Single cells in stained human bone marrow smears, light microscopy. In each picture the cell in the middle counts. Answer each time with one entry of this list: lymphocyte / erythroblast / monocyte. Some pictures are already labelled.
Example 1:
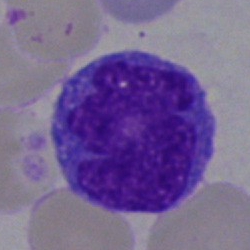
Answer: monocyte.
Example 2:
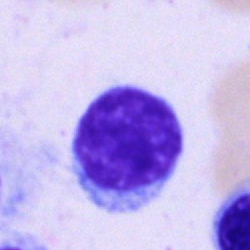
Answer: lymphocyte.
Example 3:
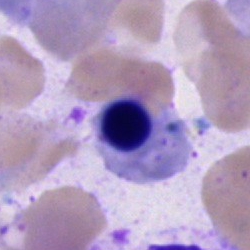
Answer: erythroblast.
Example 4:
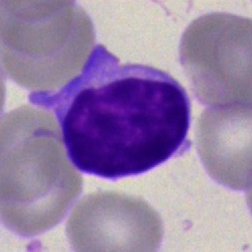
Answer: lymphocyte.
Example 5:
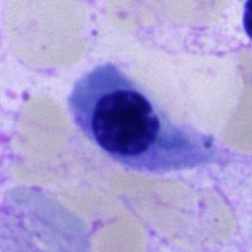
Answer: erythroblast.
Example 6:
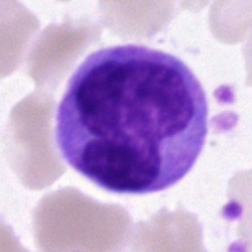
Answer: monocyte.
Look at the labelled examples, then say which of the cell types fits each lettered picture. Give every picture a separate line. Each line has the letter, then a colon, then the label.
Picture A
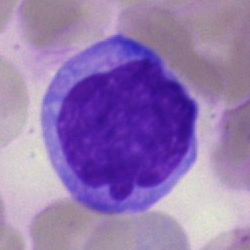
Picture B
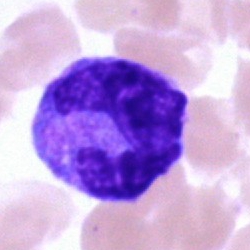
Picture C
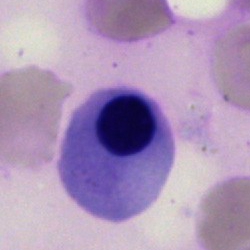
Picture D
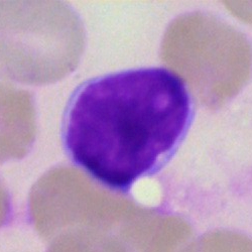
A: monocyte.
B: monocyte.
C: erythroblast.
D: lymphocyte.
